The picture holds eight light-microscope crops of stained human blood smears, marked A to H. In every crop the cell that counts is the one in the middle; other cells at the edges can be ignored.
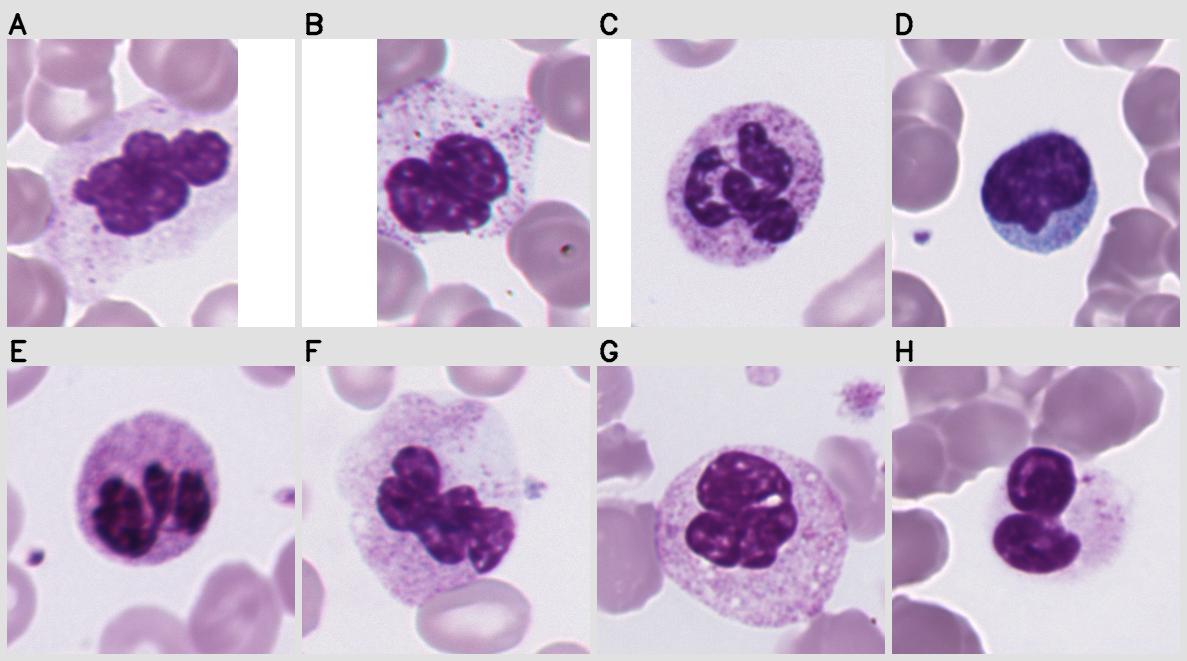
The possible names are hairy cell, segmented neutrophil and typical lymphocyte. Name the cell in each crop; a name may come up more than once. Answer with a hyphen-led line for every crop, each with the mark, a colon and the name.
- A: segmented neutrophil
- B: segmented neutrophil
- C: segmented neutrophil
- D: typical lymphocyte
- E: segmented neutrophil
- F: segmented neutrophil
- G: segmented neutrophil
- H: segmented neutrophil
